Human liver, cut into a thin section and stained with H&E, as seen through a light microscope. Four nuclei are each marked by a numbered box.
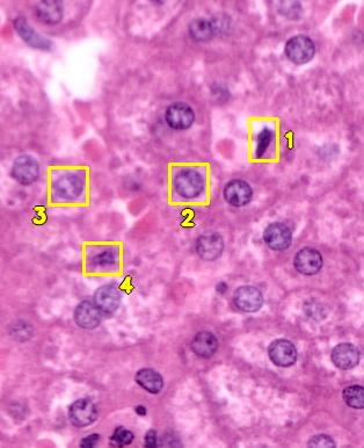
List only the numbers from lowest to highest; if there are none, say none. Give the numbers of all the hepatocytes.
2, 3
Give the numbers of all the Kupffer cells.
none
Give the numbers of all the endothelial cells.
1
